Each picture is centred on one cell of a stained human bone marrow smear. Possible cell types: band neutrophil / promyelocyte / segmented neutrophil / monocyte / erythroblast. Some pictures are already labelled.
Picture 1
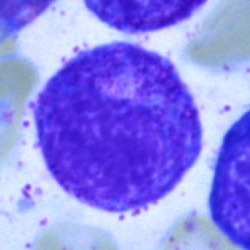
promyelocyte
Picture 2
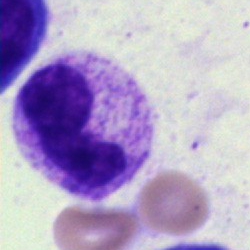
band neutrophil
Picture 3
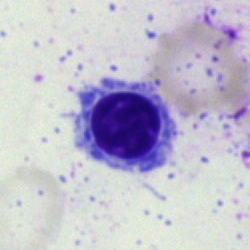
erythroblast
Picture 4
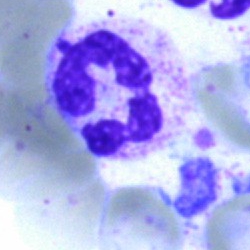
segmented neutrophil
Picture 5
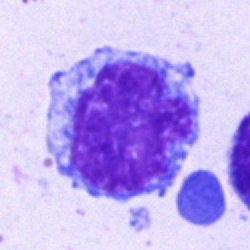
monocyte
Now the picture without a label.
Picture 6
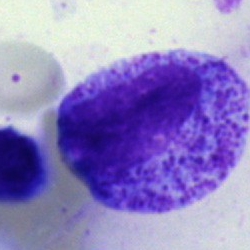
promyelocyte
